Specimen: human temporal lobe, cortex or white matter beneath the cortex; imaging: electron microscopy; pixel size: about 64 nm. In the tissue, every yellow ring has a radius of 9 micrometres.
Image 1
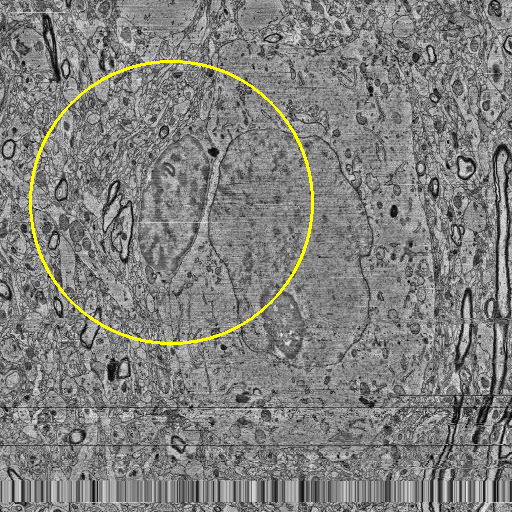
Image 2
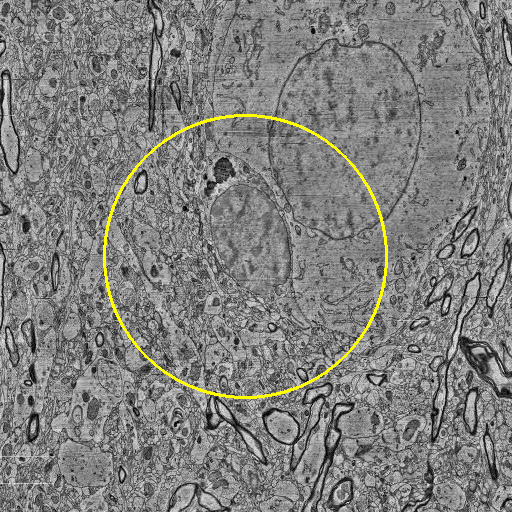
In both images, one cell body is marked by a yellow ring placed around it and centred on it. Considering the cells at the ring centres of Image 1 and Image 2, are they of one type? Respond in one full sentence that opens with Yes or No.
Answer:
Yes, a single type applies to the ring-centred cells of both Image 1 and Image 2.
